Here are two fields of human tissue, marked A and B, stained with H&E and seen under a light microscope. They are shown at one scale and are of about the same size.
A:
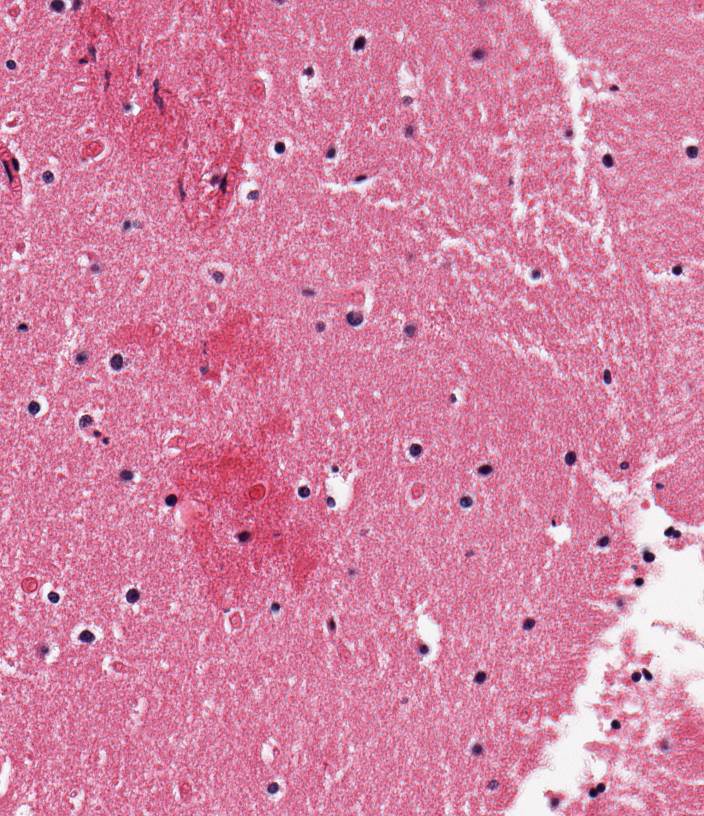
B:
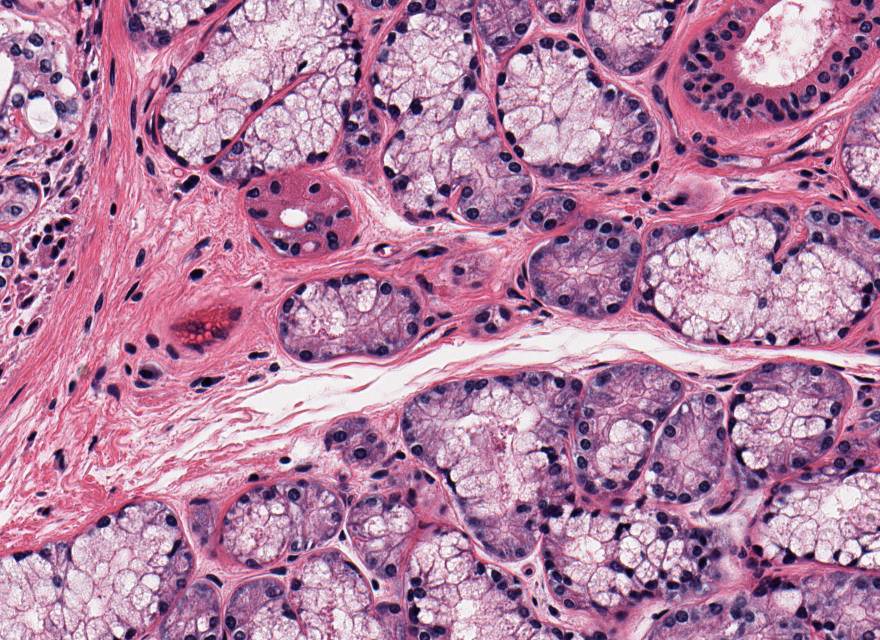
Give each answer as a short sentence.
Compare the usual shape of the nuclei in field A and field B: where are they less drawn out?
On the whole the nuclei of field A are rounder than those of field B.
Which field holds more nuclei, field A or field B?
It is field B that has more nuclei in it.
